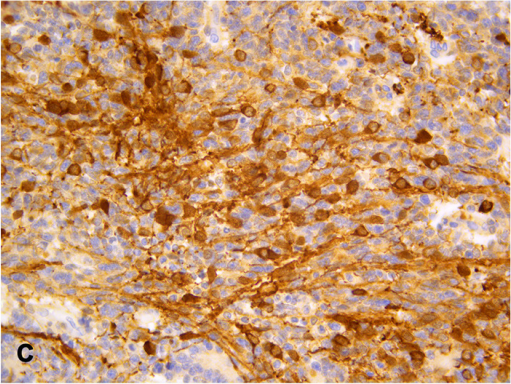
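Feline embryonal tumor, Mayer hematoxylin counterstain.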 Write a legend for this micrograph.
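Many threadlike brown processes run in parallel streams across the field. Scattered rounded cells have intensely brown cytoplasm around blue ovoid nuclei. Between them lie crowded cells with paler staining and small pale lumen-like spaces.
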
